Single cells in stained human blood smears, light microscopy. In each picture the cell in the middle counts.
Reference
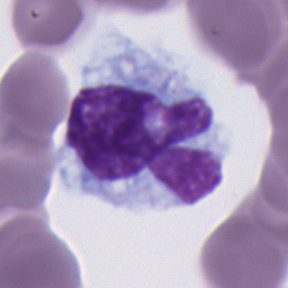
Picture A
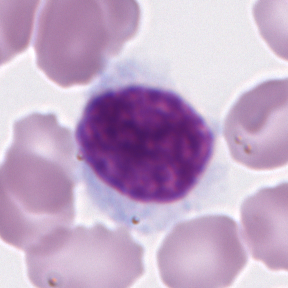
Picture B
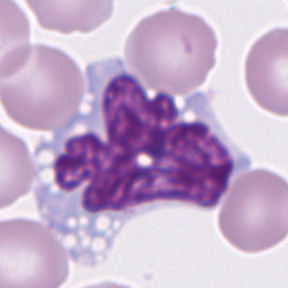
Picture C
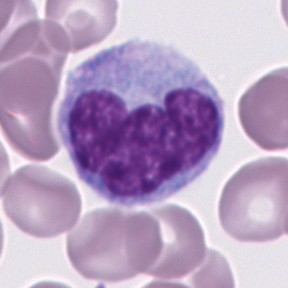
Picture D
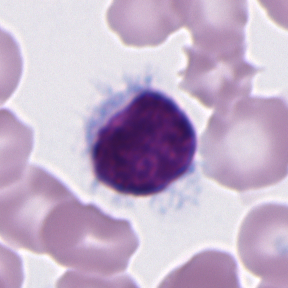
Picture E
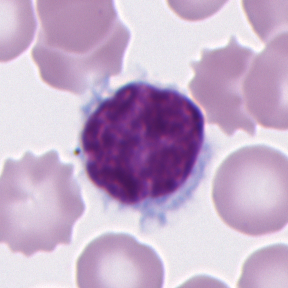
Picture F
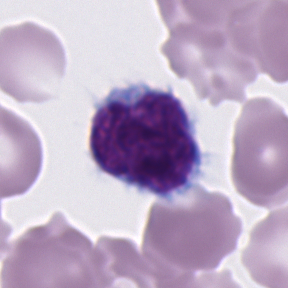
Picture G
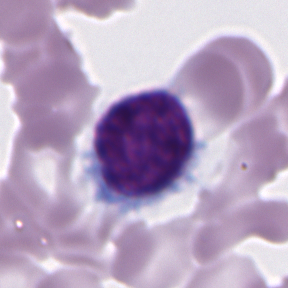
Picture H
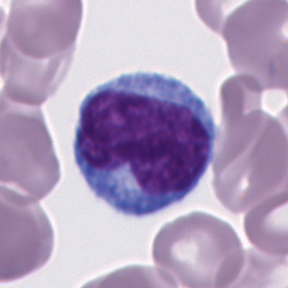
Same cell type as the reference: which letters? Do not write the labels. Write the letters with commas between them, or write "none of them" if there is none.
B, C, H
